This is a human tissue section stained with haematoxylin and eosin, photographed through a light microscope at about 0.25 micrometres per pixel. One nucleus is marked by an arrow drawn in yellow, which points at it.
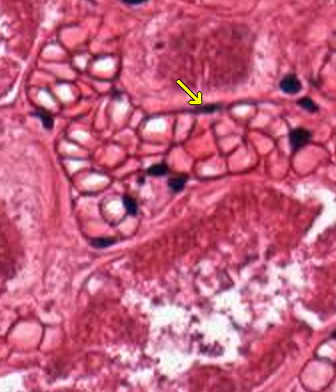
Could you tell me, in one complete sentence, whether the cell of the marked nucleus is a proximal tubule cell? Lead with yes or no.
No, a proximal tubule cell does not own the marked nucleus, which belongs to a supporting cell.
